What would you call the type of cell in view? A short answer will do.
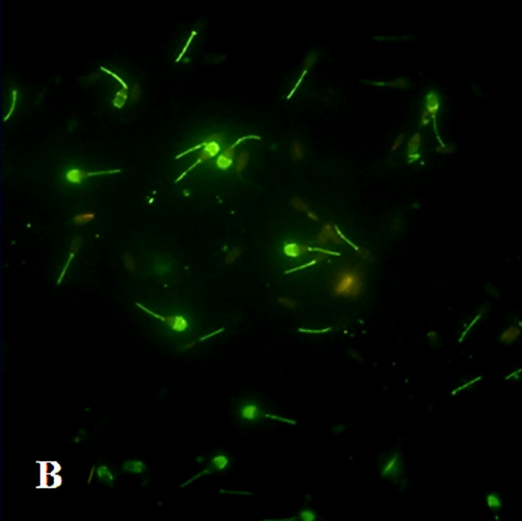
spermatozoa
